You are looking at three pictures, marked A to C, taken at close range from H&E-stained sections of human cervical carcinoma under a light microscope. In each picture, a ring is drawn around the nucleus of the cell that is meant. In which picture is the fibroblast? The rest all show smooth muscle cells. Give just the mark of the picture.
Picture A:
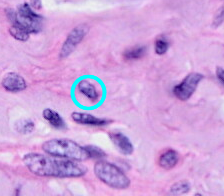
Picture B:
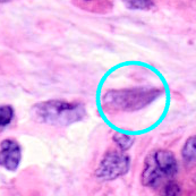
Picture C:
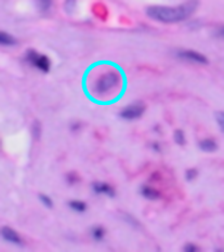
B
